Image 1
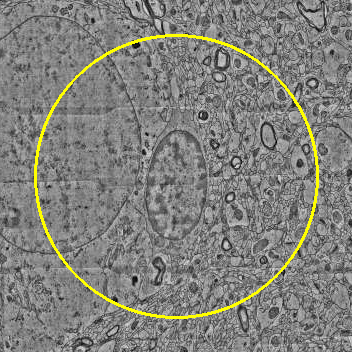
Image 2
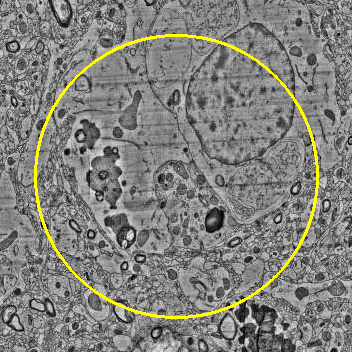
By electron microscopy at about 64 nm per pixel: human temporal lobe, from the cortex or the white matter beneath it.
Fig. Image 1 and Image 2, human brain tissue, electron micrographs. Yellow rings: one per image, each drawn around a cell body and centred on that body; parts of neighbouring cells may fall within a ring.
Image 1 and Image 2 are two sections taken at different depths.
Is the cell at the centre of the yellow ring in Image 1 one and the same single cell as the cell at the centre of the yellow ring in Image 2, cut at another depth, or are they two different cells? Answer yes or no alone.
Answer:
no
